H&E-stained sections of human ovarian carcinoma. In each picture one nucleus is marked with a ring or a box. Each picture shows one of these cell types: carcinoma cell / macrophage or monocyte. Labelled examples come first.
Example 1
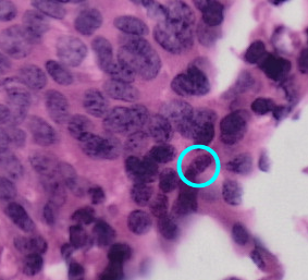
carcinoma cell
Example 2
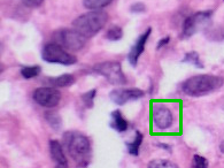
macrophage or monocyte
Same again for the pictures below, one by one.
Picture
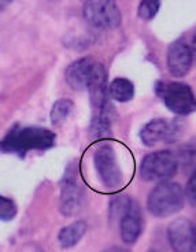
carcinoma cell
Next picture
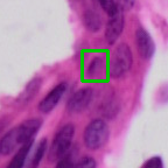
carcinoma cell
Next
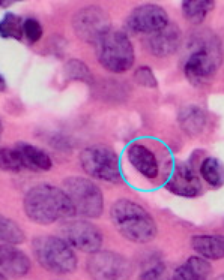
macrophage or monocyte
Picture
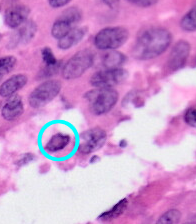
macrophage or monocyte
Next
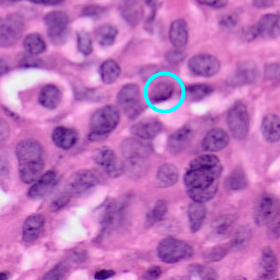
carcinoma cell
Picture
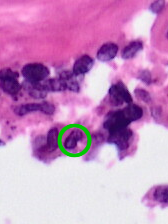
macrophage or monocyte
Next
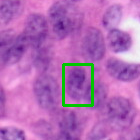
carcinoma cell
